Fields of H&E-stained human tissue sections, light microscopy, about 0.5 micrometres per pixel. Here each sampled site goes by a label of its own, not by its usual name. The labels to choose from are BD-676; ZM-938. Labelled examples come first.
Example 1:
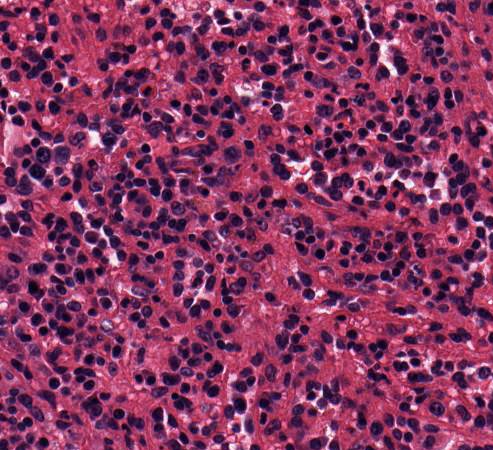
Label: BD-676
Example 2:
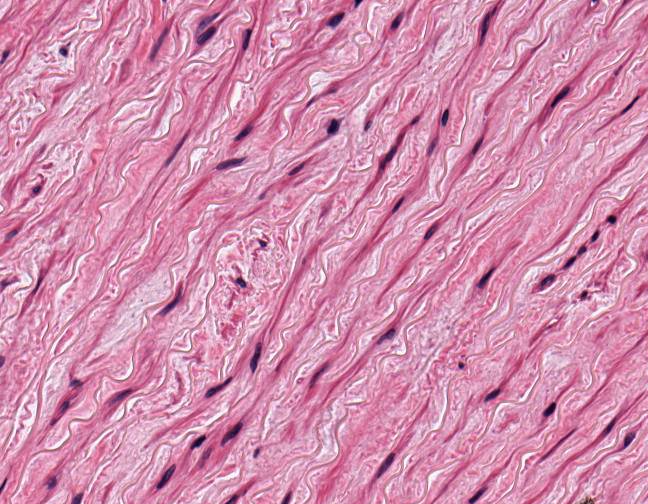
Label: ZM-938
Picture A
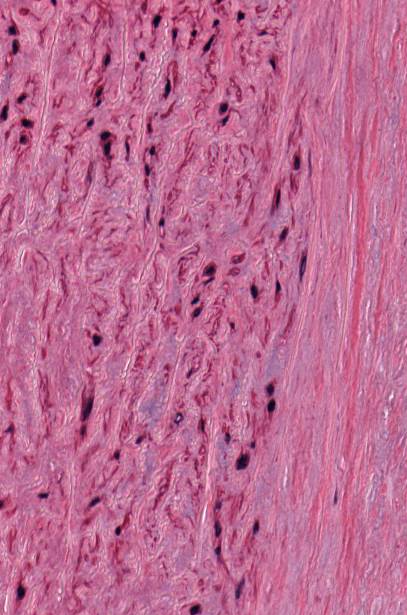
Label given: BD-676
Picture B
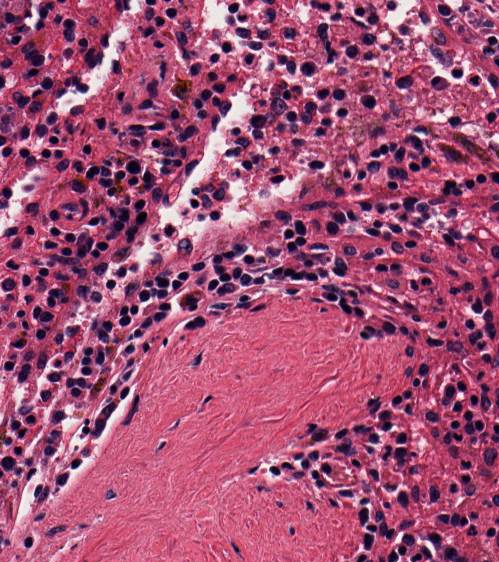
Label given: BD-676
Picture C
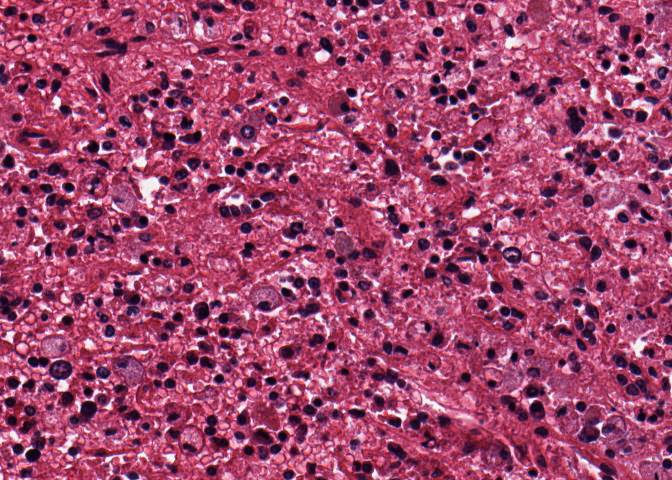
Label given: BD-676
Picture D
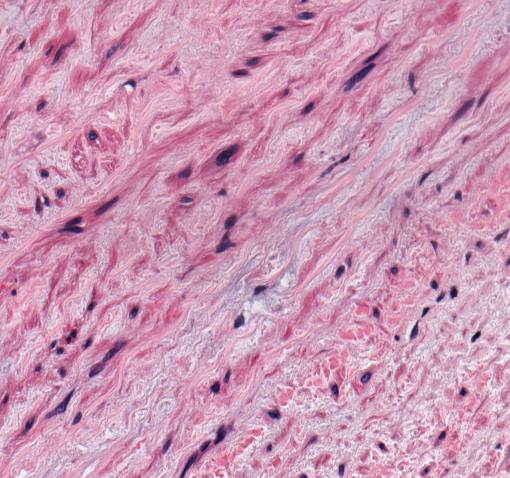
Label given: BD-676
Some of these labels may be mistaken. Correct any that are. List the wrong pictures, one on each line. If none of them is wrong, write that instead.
A: ZM-938, not BD-676
D: ZM-938, not BD-676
